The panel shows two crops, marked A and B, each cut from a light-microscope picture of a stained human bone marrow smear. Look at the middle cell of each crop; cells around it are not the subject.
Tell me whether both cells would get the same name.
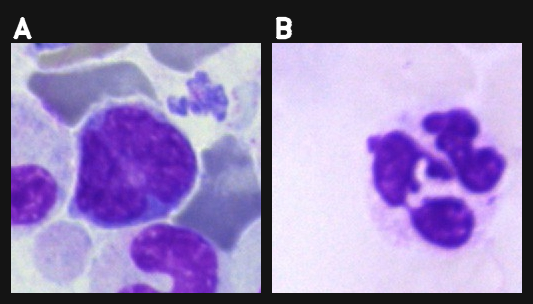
no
